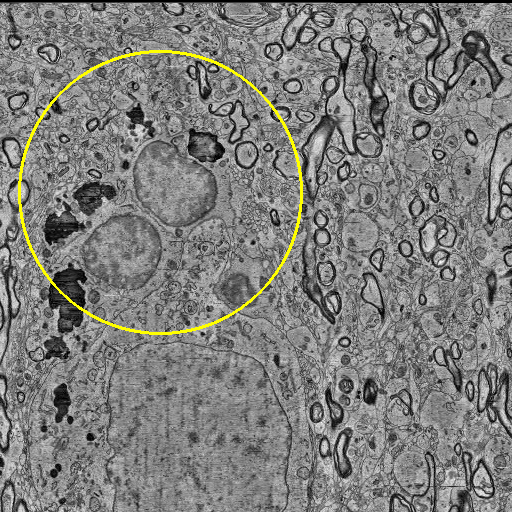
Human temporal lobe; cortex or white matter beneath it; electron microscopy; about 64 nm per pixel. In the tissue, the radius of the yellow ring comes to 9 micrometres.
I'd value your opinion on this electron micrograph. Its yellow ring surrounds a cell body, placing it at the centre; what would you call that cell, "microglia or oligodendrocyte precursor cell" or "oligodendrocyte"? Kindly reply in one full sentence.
It is an oligodendrocyte that sits centred within the yellow ring in this micrograph.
